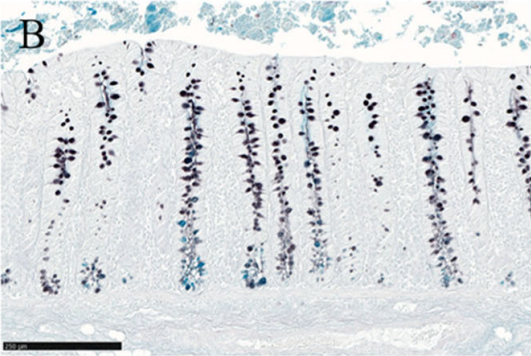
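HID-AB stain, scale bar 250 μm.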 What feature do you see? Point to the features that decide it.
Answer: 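Colon mucosal crypts. Straight tubular glands run side by side, perpendicular to the surface. Each gland is lined by cells holding dark purple-black and blue mucin droplets. A smooth luminal surface lies on top and a pale band of deeper tissue below.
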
